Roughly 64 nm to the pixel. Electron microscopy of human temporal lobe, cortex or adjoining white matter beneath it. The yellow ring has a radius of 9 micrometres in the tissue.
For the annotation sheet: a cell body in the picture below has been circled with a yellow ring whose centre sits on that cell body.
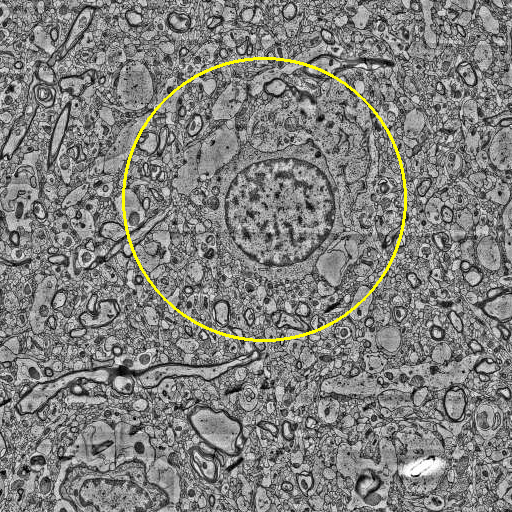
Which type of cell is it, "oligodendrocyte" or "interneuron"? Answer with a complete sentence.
The circled cell is an oligodendrocyte.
